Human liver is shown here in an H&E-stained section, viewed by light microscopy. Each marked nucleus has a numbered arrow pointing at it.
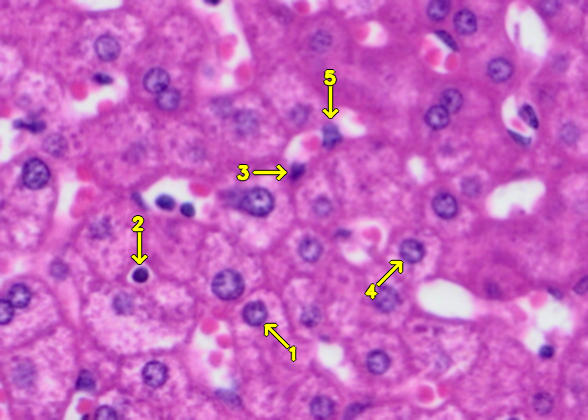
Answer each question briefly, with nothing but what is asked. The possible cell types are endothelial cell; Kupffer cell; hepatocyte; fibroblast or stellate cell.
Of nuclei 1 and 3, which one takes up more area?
1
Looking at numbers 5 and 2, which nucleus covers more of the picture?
5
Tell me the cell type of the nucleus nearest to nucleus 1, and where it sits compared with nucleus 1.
a hepatocyte, above and to the left of nucleus 1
